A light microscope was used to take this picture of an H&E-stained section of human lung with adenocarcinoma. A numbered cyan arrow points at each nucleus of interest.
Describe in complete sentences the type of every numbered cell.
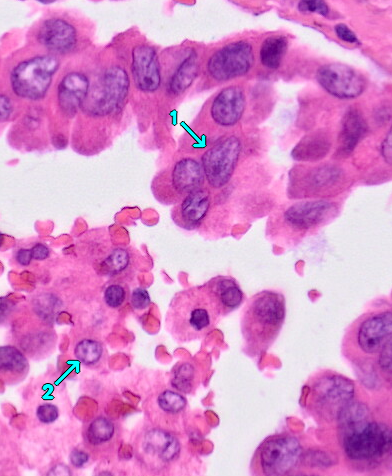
Cell 1 is a carcinoma cell and cell 2 is a macrophage or monocyte.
